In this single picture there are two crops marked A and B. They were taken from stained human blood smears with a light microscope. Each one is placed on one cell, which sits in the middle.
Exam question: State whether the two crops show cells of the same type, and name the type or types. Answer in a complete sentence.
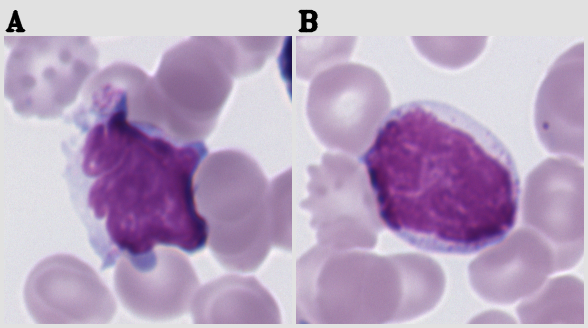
Yes, the two crops share the same answer, large granular lymphocytes.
